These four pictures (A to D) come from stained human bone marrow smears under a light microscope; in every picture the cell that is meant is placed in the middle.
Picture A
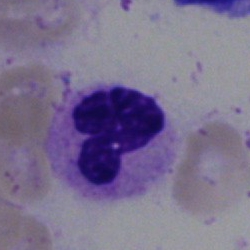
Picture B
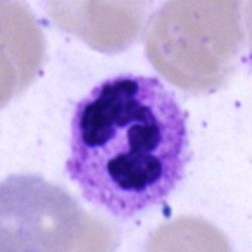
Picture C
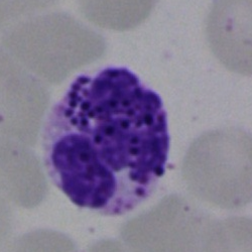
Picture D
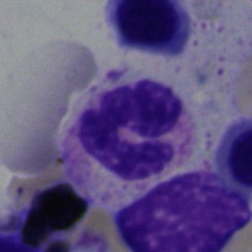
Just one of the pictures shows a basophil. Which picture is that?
C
